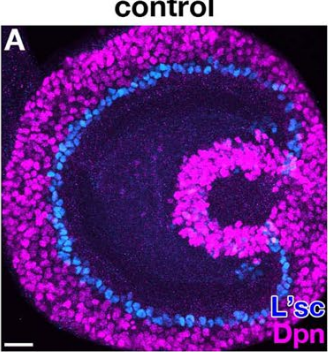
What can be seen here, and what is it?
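A larval optic lobe in which densely packed round magenta nuclei form a broad outer band curving around most of the lobe. Inside the band lies a darker, sparsely labelled region, and near the centre a second, C-shaped cluster of magenta nuclei curls around a dark core.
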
